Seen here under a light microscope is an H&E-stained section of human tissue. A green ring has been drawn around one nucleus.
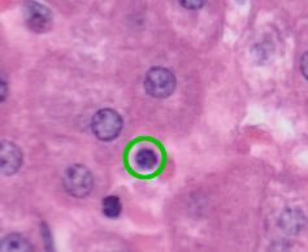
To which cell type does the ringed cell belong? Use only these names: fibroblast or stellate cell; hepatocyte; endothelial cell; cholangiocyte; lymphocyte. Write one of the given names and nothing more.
lymphocyte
